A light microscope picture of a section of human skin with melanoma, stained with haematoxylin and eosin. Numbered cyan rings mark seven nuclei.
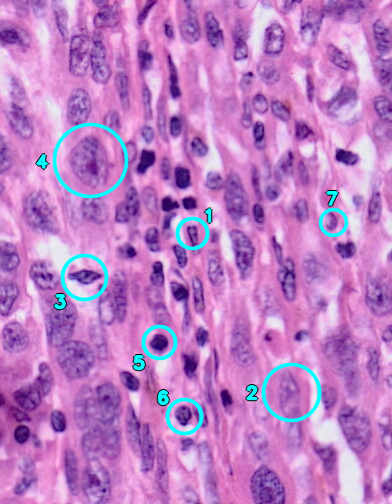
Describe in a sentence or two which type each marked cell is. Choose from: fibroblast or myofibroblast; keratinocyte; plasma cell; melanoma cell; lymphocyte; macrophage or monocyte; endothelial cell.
Cell 1 is a macrophage or monocyte, cell 2 is a melanoma cell, cell 3 is a lymphocyte, cell 4 is a melanoma cell, cell 5 is a lymphocyte, cell 6 is a lymphocyte and cell 7 is a macrophage or monocyte.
